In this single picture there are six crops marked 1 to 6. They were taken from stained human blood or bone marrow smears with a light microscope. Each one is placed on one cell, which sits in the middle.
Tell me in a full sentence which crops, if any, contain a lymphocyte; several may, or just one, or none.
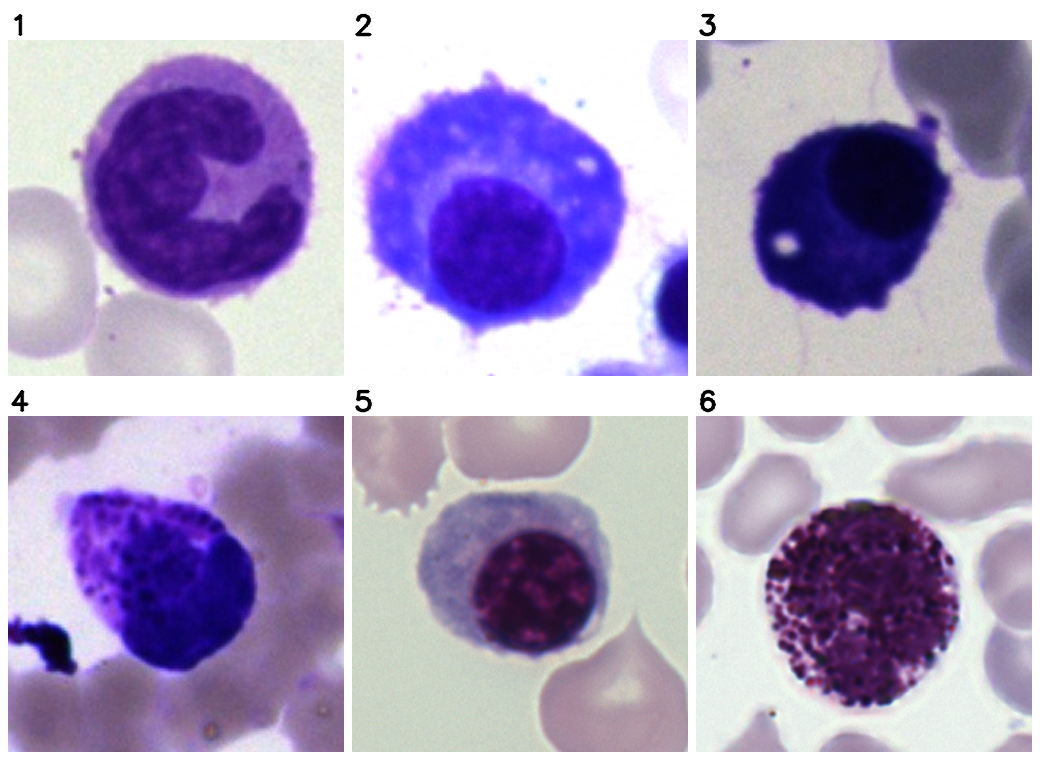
To answer plainly, no crop here shows a lymphocyte.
